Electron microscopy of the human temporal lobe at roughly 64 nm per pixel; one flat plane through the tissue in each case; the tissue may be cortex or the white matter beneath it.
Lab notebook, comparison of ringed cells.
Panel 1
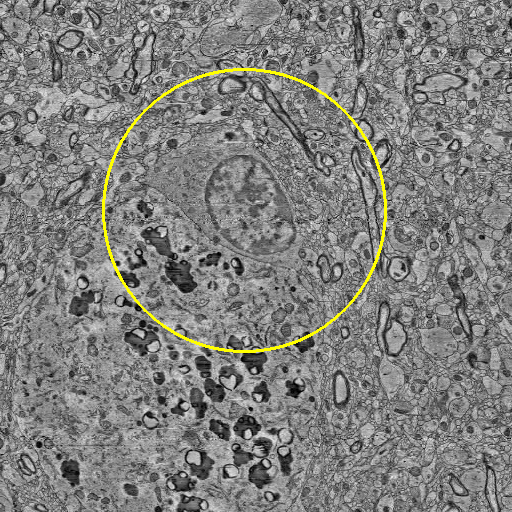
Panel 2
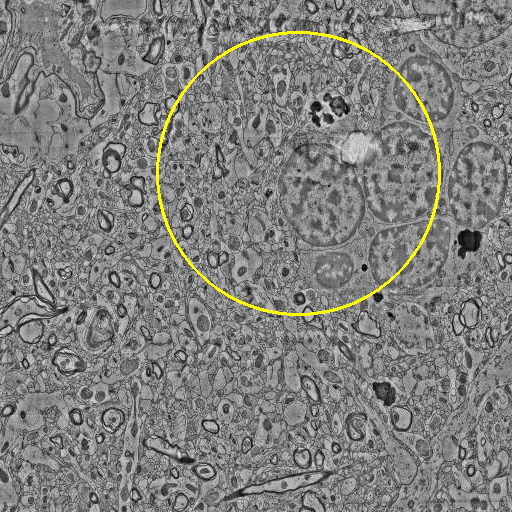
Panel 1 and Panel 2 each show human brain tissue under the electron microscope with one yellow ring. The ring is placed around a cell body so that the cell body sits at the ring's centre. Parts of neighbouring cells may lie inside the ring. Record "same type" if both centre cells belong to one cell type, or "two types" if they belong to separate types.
same type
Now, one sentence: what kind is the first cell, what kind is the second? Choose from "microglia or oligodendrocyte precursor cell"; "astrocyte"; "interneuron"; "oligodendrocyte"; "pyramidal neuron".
In both pictures the ring is centred on an oligodendrocyte.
